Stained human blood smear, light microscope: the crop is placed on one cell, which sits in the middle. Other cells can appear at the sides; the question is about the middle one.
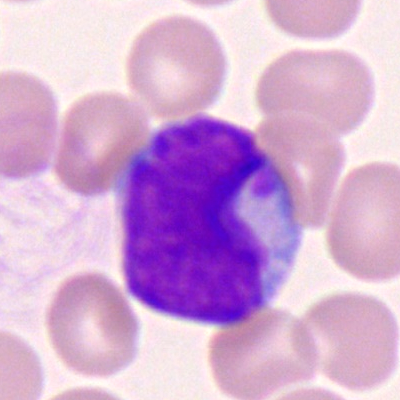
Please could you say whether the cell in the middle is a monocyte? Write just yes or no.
no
